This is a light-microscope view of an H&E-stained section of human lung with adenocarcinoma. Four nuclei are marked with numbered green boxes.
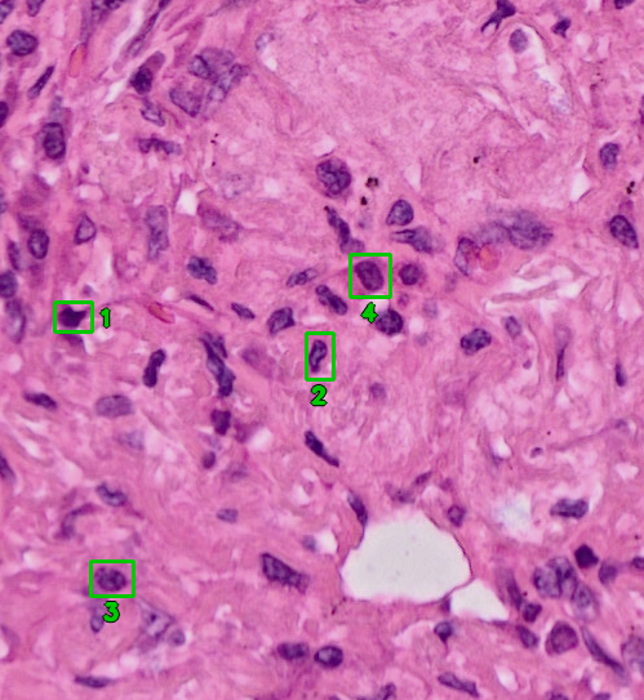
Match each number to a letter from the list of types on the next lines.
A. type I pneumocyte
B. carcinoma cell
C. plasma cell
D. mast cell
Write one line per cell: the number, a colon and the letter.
1: C
2: D
3: C
4: C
